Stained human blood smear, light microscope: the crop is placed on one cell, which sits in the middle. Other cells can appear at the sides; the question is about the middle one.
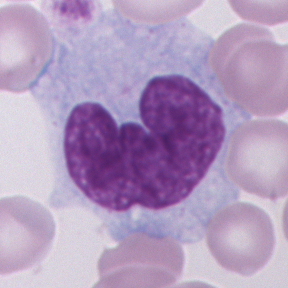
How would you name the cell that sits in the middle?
monocyte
